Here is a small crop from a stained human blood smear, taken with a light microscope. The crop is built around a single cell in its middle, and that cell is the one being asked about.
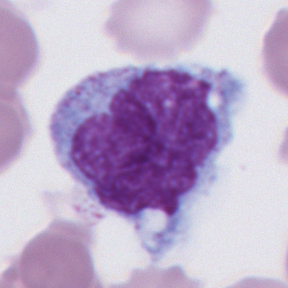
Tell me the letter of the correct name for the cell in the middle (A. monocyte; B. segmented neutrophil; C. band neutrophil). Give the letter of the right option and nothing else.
A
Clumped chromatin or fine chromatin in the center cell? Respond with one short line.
No coarse chromatin clumps are present; the pattern is fine.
